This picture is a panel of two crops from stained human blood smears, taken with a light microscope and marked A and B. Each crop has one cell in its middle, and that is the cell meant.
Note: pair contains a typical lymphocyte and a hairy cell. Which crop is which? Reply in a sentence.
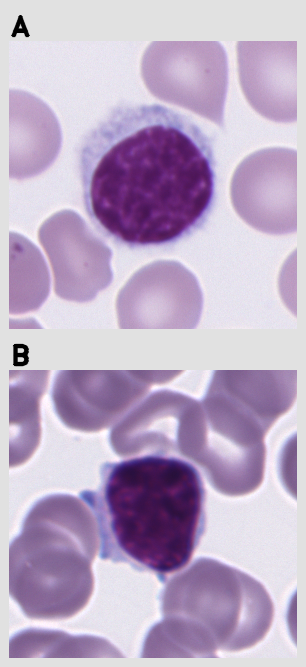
The cell centred in crop A is a hairy cell, while the one centred in crop B is a typical lymphocyte.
